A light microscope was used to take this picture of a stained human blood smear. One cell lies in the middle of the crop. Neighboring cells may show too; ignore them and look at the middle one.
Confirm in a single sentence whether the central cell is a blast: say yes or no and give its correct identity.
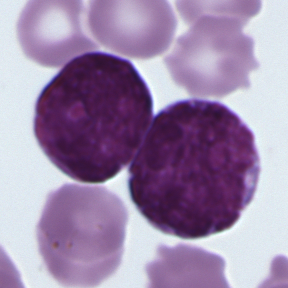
Yes, in the middle of the crop is a blast.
